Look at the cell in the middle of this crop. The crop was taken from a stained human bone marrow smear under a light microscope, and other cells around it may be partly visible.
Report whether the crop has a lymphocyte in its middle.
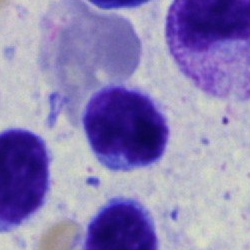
yes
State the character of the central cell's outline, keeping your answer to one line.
The outline traces a smooth curve with no projections along it.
